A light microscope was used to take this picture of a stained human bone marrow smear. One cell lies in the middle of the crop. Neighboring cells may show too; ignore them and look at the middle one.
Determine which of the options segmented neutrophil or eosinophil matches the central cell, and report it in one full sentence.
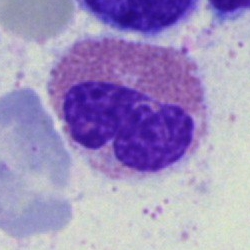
The cell sitting right in the middle is an eosinophil.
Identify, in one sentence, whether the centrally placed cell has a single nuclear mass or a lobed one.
If you check the nucleus, you will find it split into two or more lobes.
